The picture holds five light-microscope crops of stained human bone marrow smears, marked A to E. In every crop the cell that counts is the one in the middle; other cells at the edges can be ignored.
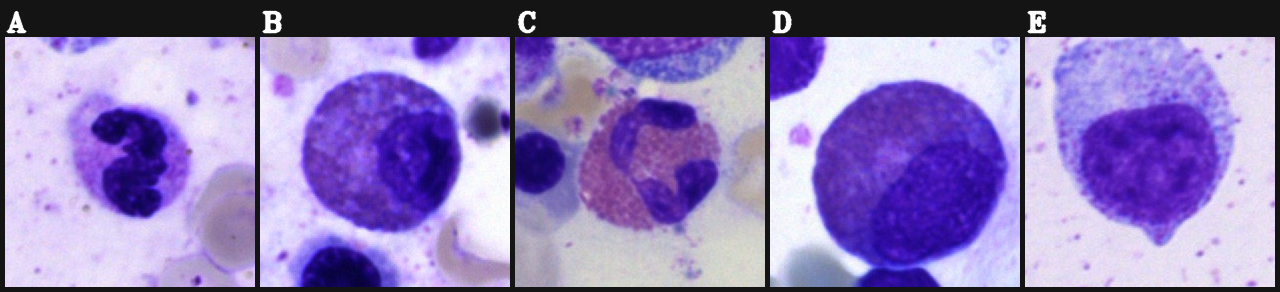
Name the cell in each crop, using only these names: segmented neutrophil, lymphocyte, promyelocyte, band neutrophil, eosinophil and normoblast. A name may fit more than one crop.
A: segmented neutrophil
B: eosinophil
C: eosinophil
D: eosinophil
E: promyelocyte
